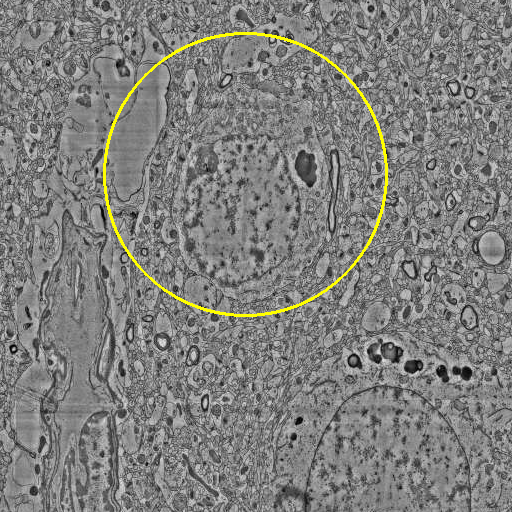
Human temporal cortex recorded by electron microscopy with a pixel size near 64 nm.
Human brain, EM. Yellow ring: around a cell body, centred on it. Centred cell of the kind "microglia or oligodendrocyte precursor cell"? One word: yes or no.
no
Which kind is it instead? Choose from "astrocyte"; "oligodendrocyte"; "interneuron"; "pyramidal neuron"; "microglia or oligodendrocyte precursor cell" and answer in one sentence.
The cell in question here is an interneuron.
